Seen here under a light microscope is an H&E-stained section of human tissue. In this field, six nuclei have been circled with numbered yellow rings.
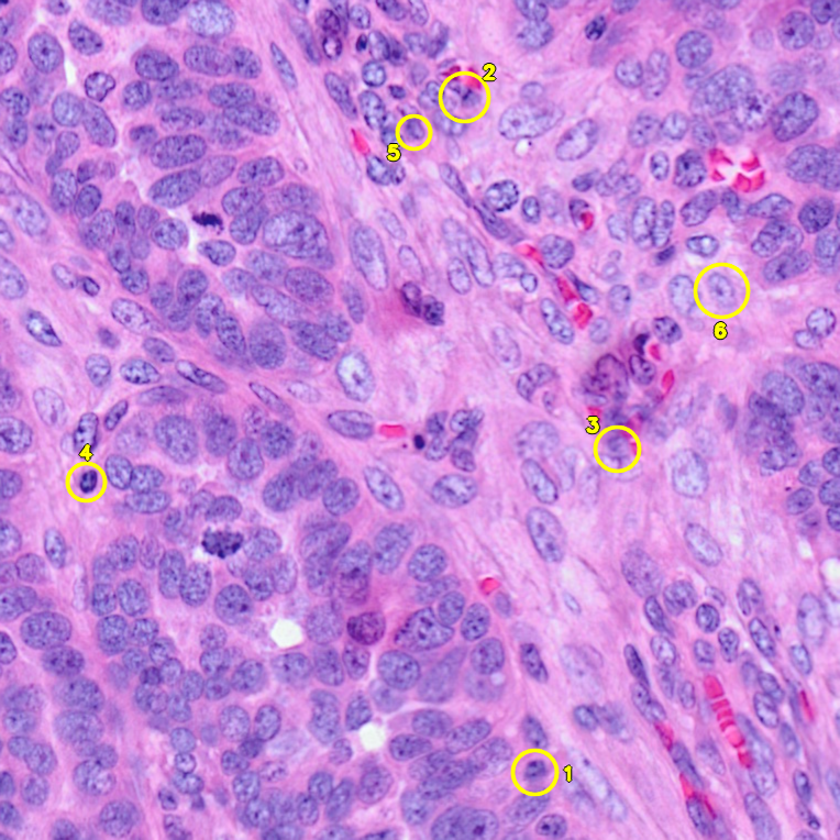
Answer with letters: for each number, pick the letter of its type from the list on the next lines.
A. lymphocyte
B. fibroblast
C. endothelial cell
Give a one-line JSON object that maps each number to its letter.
{"1": "A", "2": "C", "3": "C", "4": "A", "5": "C", "6": "B"}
